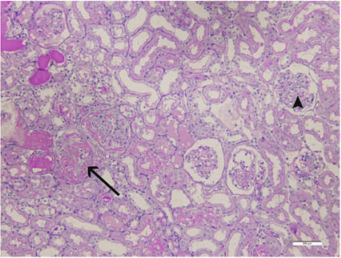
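Kidney cortex with glomeruli among tubules that are widened, with thin lining cells and open, clear lumens. Several tubular lumens are filled with homogeneous bright magenta material. Some glomeruli appear crowded with nuclei, and one tuft contains deeply magenta, smudged material.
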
